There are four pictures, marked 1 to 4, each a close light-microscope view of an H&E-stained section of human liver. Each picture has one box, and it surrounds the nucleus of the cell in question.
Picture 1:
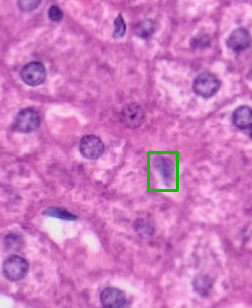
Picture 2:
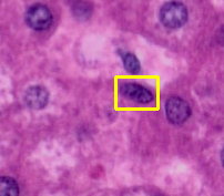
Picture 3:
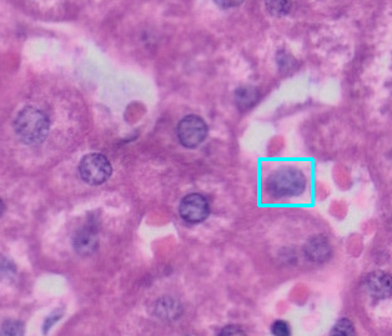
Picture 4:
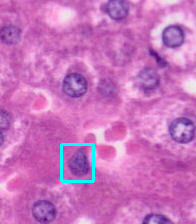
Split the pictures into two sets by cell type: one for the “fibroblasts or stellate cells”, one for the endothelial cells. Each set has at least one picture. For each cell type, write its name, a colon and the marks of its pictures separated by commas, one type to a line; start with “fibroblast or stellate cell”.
fibroblast or stellate cell: 2, 4
endothelial cell: 1, 3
